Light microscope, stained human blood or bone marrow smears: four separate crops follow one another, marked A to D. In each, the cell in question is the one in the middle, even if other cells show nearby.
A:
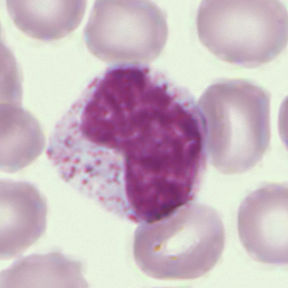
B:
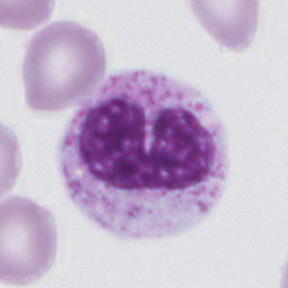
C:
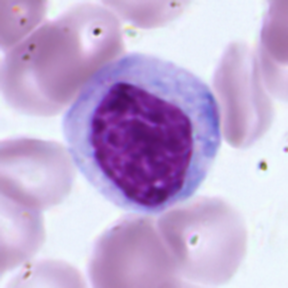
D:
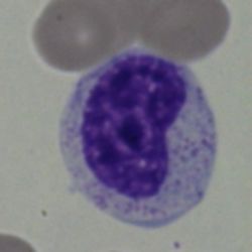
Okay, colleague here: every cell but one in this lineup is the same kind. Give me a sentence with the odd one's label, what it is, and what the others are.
Crop B does not match the others; it shows a band neutrophil, and they show metamyelocytes.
